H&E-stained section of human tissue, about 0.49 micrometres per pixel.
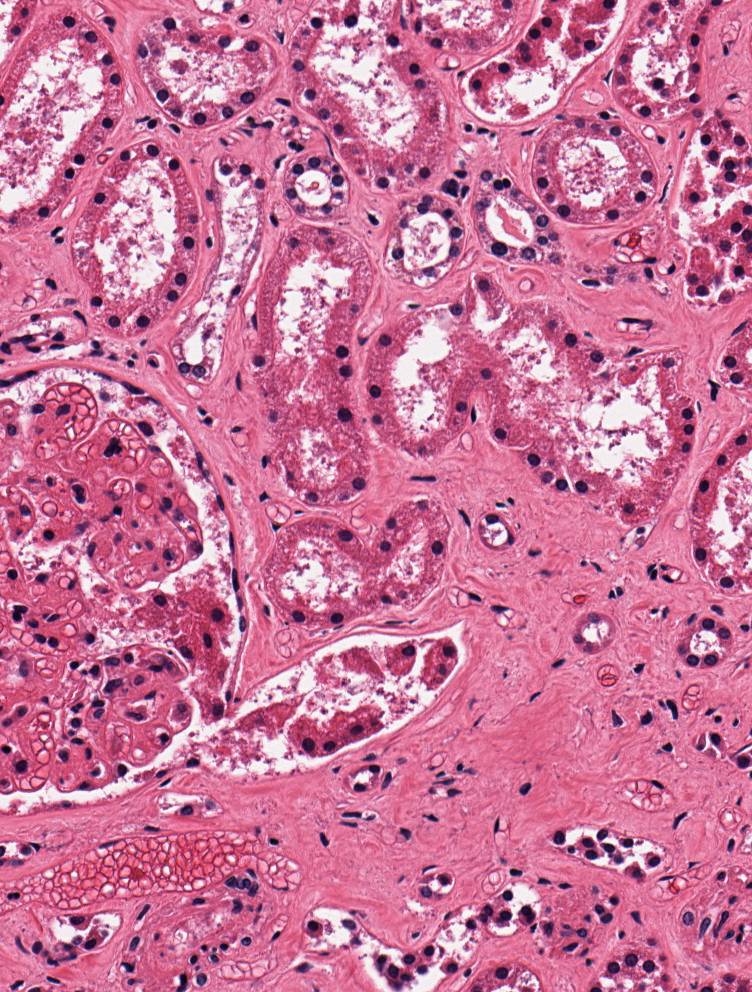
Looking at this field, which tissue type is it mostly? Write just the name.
cortical labyrinth of the kidney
